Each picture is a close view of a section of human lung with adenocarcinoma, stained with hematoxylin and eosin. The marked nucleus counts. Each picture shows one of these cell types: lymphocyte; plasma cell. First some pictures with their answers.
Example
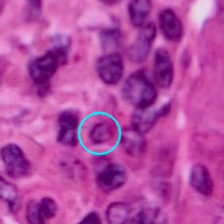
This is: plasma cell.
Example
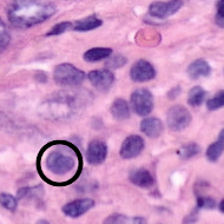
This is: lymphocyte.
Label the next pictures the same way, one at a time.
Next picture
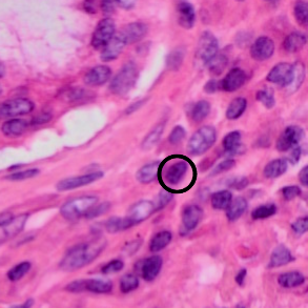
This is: plasma cell.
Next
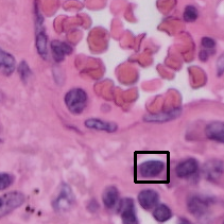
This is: plasma cell.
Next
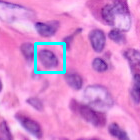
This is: lymphocyte.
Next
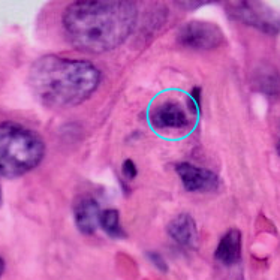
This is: plasma cell.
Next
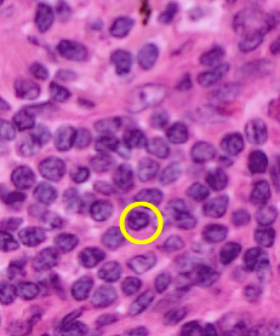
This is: lymphocyte.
